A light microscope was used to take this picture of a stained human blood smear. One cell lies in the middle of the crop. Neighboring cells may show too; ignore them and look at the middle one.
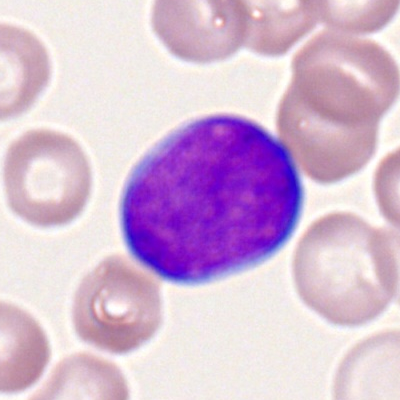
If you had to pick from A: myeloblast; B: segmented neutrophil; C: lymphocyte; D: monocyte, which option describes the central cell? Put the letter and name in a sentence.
Given that the cell in the middle is a myeloblast, option A is correct.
